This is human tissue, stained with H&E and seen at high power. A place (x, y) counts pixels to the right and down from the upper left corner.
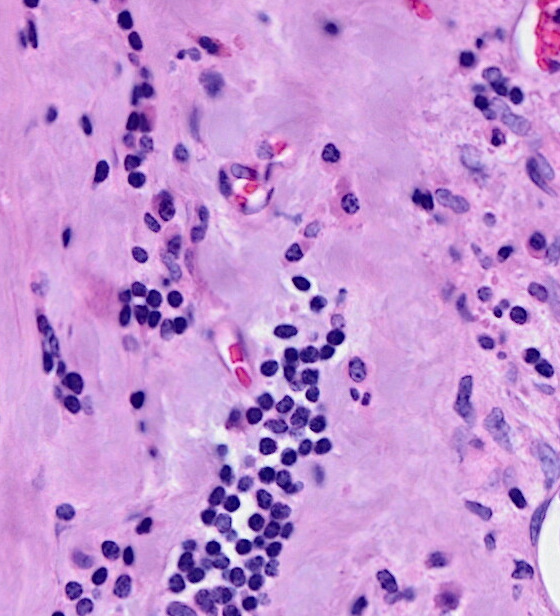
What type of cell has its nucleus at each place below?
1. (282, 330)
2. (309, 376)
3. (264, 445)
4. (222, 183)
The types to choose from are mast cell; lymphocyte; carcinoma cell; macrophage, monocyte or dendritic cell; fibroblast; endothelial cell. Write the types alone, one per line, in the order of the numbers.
lymphocyte
lymphocyte
lymphocyte
endothelial cell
